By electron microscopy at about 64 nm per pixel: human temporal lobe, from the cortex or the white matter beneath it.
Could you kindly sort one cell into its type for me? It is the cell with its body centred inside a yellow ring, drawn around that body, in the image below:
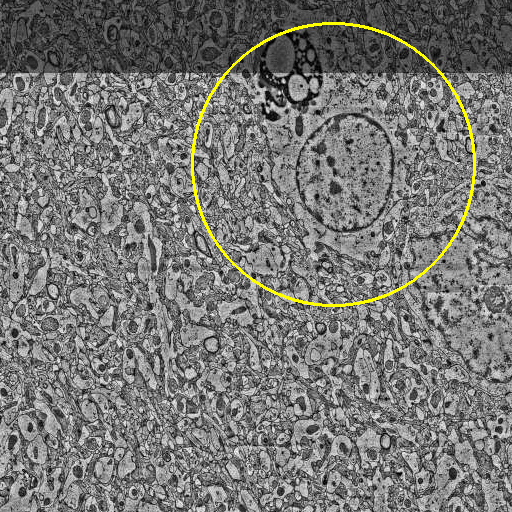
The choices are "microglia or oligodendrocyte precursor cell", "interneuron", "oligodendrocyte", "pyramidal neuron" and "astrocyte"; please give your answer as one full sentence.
The cell whose body lies centred in the yellow ring here is an astrocyte.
